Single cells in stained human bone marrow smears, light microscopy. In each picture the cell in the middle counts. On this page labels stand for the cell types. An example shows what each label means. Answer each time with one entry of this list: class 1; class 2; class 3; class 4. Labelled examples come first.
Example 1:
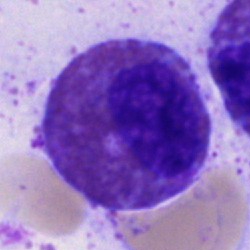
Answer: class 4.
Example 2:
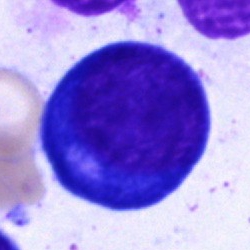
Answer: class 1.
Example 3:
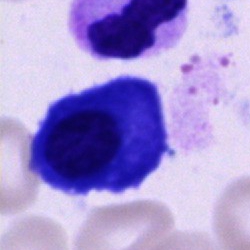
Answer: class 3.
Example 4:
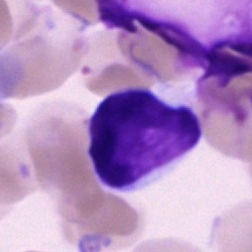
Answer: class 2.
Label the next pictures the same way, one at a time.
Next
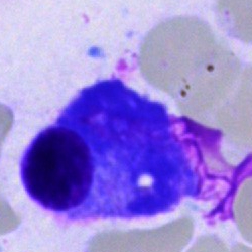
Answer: class 3.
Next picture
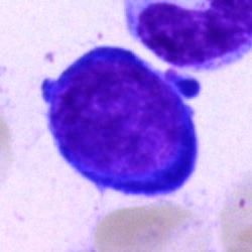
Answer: class 1.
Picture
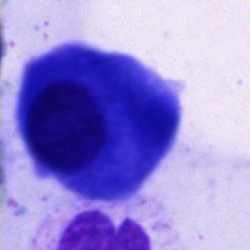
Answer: class 3.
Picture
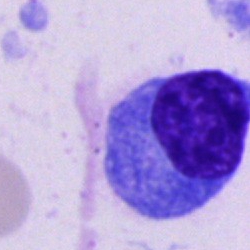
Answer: class 3.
